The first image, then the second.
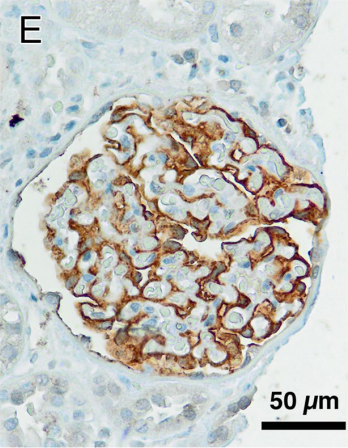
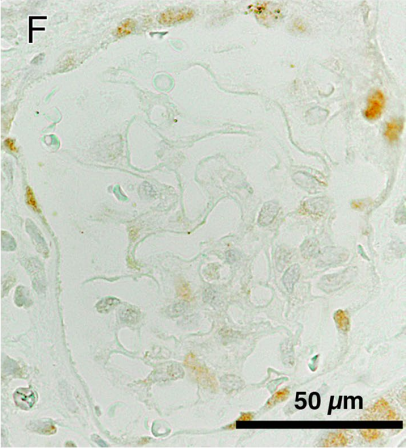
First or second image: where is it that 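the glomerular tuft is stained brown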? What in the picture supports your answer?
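Second image: the glomerular tuft is pale, with brown nuclei only at the periphery. First image: the capillary loops of the tuft are outlined in strong brown. So: the first image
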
